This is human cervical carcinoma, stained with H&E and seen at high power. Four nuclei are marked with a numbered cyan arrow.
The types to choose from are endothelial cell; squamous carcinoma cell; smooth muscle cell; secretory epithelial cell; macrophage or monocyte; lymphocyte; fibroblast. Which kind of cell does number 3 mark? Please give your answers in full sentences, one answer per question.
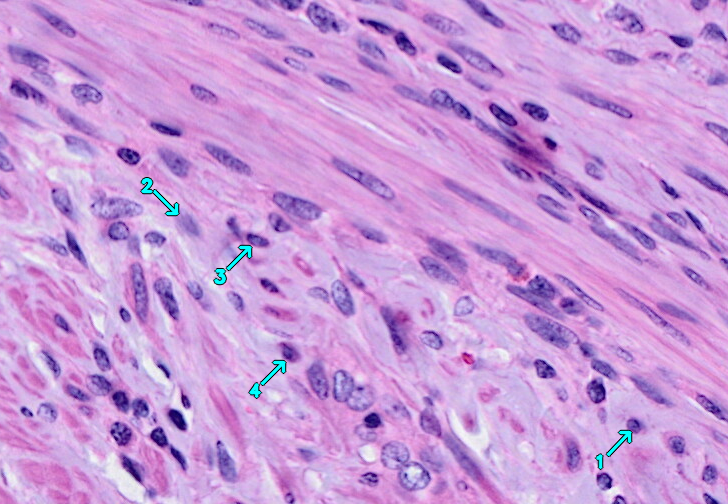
Cell 3 is classified as a smooth muscle cell.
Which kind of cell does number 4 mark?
Cell 4 should be recorded as a smooth muscle cell.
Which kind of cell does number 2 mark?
The marked cell with the number 2 is recognised as a fibroblast.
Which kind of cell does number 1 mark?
The numbered cell 1 is identified here as a smooth muscle cell.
